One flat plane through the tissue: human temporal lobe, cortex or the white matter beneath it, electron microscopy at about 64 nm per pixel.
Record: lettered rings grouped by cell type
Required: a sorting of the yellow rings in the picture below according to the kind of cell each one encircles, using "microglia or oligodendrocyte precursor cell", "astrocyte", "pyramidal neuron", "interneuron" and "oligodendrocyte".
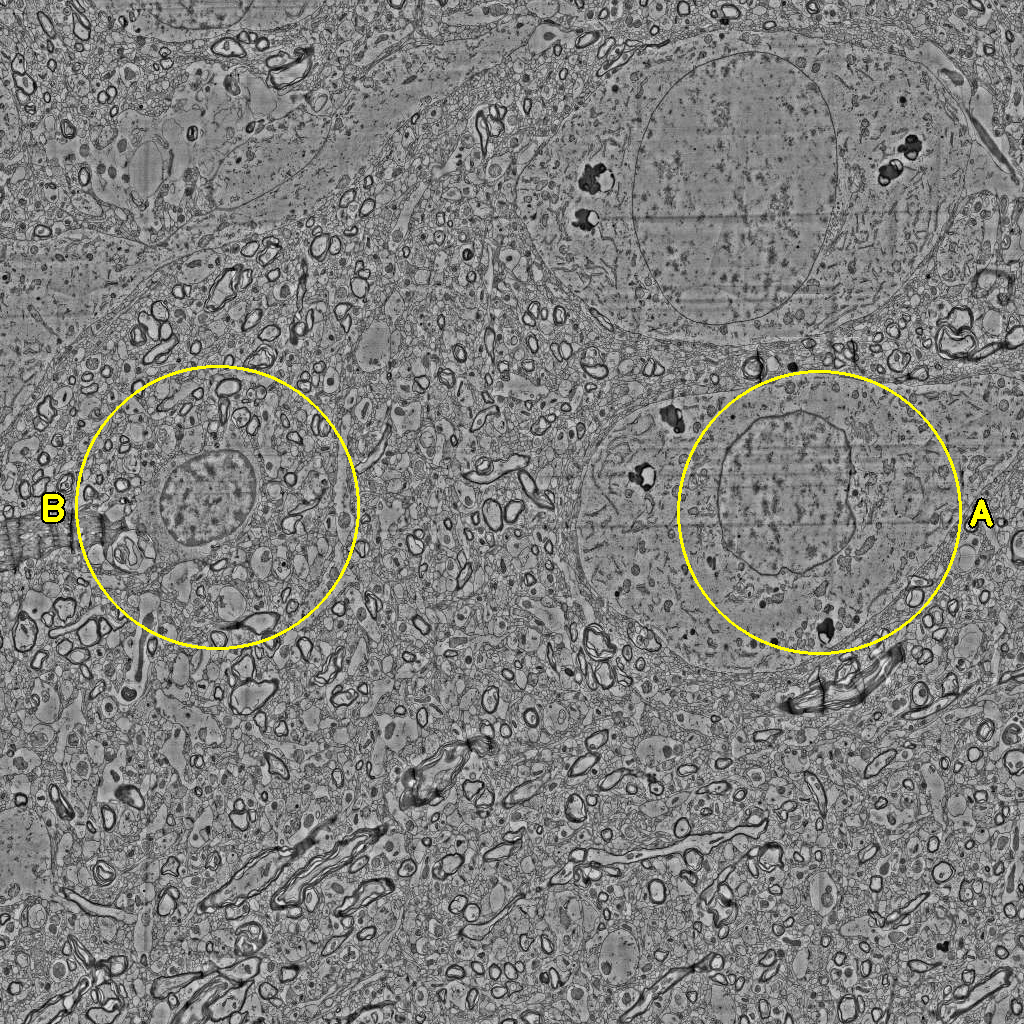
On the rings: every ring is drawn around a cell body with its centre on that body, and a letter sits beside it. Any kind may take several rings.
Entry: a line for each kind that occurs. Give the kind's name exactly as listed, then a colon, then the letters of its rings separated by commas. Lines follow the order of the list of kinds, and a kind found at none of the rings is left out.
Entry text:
pyramidal neuron: A
oligodendrocyte: B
